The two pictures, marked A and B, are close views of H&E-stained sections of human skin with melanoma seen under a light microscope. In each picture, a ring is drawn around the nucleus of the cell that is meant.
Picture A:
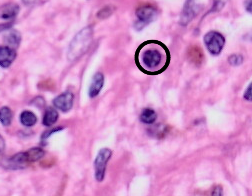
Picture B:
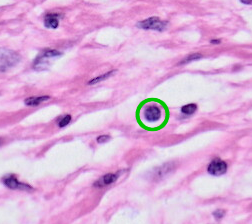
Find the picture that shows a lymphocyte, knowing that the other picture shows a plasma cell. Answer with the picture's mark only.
B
